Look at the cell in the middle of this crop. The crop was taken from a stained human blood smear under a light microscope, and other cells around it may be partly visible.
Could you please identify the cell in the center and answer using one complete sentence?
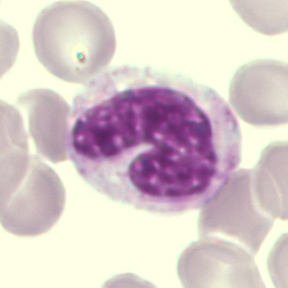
The cell found in the middle of this crop is a band neutrophil.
